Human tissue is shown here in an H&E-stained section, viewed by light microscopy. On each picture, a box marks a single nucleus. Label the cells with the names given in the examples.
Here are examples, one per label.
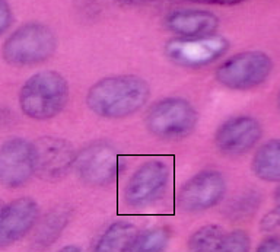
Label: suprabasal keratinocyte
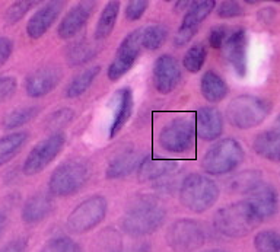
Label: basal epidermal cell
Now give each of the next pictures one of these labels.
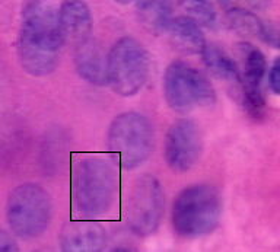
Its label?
suprabasal keratinocyte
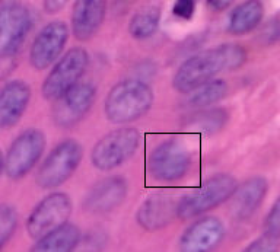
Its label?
basal epidermal cell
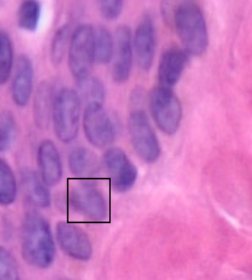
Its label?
basal epidermal cell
